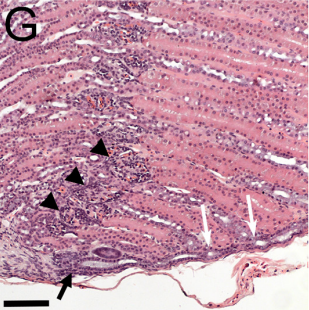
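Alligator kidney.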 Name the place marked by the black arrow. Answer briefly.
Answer: zones of nephrogenesis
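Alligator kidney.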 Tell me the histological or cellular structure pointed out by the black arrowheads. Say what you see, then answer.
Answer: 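The three arrowheads point to small rounded, cell-dense clusters. The clusters lie between tubules in a line toward the capsule. On this evidence: glomeruli.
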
